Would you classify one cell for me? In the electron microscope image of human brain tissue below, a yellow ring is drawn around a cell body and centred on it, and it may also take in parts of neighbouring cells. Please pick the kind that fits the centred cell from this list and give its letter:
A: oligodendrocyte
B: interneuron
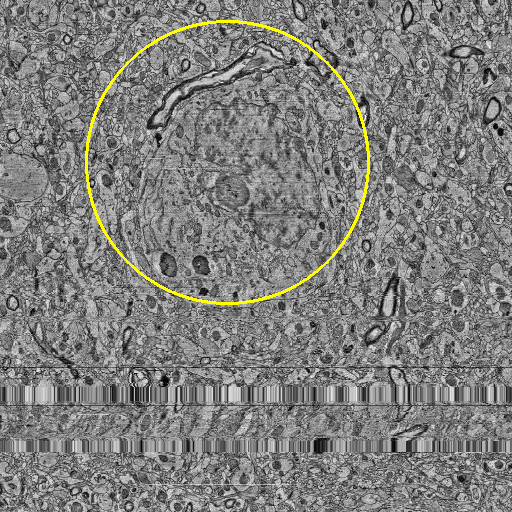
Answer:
B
